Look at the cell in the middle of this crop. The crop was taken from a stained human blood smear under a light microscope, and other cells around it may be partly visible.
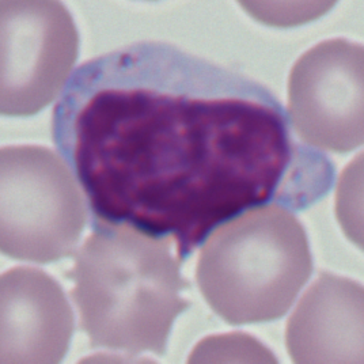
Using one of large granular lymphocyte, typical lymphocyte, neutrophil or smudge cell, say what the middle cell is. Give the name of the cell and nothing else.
large granular lymphocyte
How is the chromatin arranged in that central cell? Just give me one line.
One feature to record is coarsely clumped chromatin.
